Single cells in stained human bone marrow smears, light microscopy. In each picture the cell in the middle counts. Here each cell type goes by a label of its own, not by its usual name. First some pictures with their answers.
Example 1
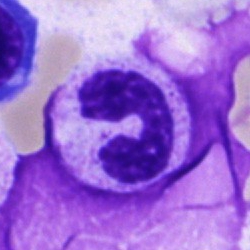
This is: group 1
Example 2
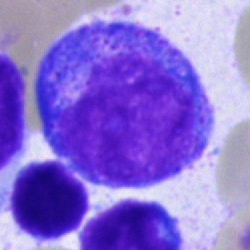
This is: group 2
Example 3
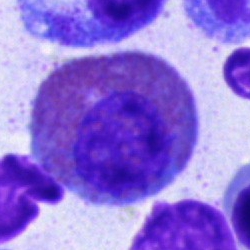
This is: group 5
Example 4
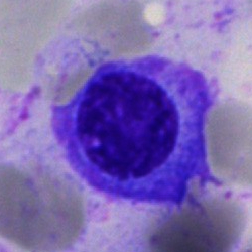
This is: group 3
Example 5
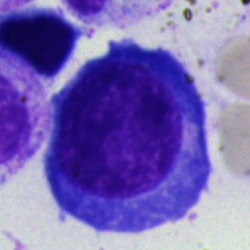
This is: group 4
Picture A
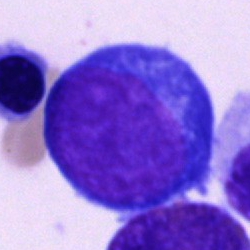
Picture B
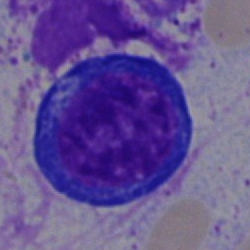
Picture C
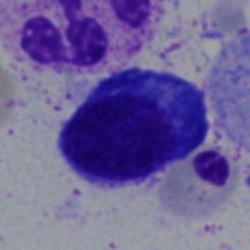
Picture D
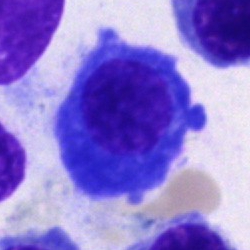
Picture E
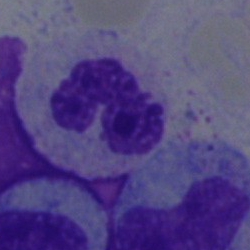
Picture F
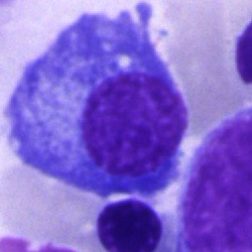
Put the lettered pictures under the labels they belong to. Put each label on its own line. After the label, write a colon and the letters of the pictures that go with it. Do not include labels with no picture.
group 1: E
group 3: C, D, F
group 4: A, B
